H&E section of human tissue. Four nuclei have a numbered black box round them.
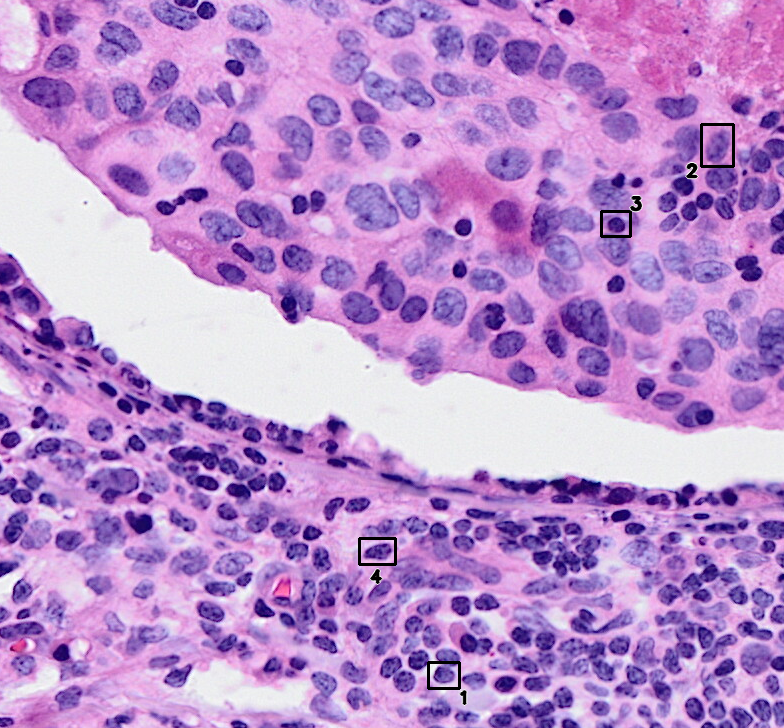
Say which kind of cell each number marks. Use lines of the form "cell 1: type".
cell 1: lymphocyte
cell 2: carcinoma cell
cell 3: lymphocyte
cell 4: lymphocyte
